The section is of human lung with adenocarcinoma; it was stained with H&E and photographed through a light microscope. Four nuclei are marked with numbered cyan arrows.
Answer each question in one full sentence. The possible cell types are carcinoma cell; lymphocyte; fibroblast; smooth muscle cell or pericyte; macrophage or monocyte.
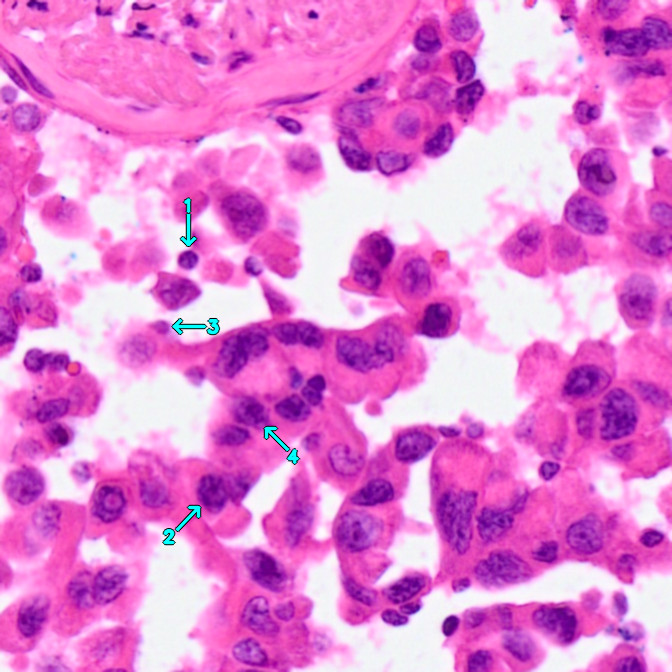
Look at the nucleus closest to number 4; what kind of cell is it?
Number 4 lies closest to the nucleus of a carcinoma cell.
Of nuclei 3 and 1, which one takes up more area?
Of the two, number 1 is bigger and takes up about 2 times the area of number 3.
